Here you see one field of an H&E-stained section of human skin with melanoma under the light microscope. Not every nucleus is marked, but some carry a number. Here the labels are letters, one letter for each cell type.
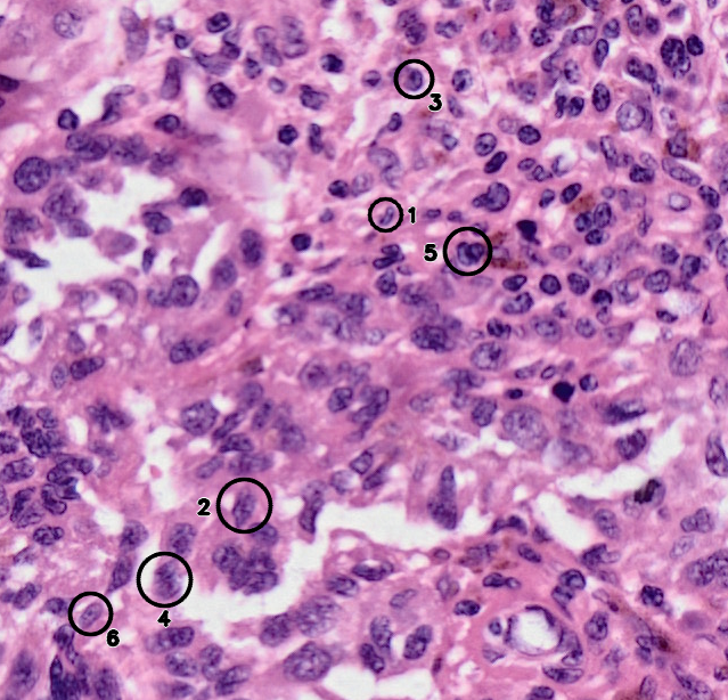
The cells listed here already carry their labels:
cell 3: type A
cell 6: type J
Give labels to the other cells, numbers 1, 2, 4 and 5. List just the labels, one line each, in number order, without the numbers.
type A
type J
type J
type A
